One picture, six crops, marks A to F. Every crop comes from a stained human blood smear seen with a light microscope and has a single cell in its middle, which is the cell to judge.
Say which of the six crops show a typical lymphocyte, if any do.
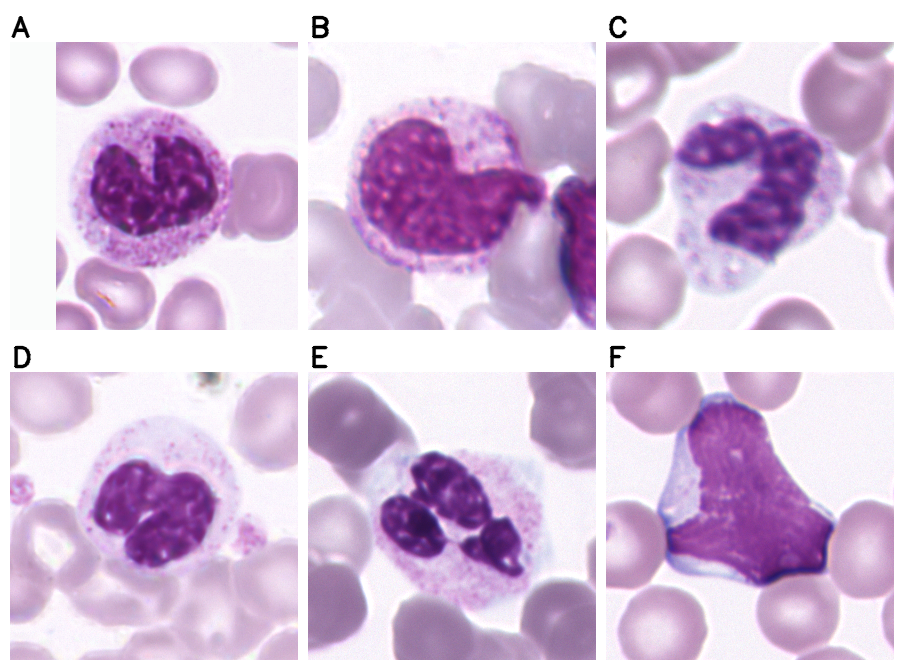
F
